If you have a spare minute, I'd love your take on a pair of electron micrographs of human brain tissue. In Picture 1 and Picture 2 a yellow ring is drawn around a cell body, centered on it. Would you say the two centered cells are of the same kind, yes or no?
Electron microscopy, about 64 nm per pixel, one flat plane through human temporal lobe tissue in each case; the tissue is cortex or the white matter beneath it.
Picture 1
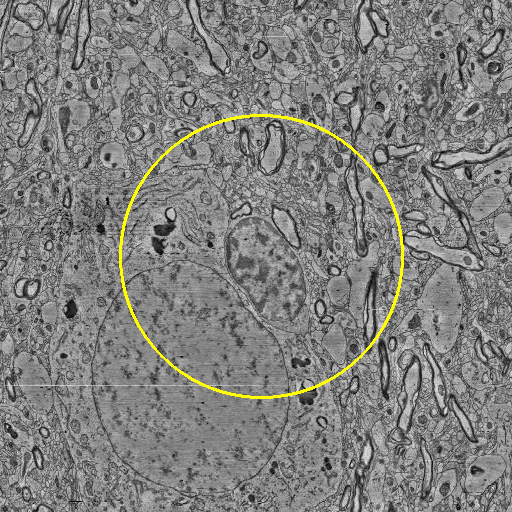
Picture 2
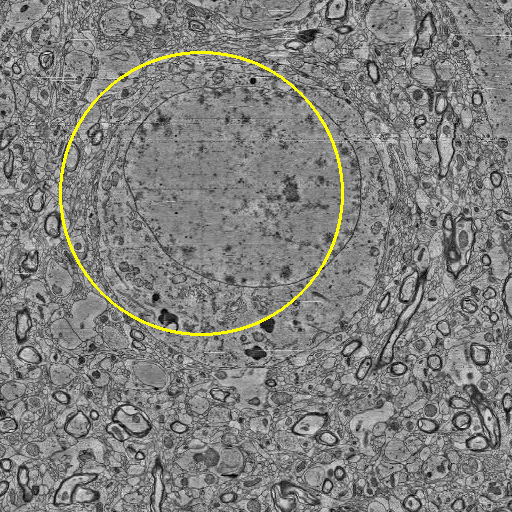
no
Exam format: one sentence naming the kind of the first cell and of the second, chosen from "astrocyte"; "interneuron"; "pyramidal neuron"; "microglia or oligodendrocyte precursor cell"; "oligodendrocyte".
The first picture's cell is an oligodendrocyte, and the second picture's cell is a pyramidal neuron.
